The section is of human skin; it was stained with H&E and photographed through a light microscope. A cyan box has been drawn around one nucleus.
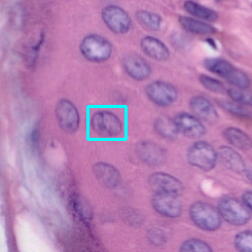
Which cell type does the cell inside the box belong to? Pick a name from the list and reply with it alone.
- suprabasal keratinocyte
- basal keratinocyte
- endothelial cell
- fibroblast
suprabasal keratinocyte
